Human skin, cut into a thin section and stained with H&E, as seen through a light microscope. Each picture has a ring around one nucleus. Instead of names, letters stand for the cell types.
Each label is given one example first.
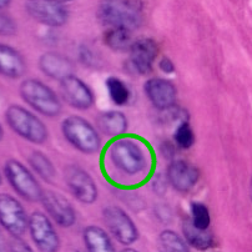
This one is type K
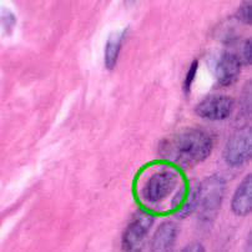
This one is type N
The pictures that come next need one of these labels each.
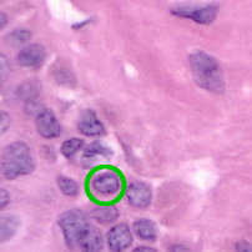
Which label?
type N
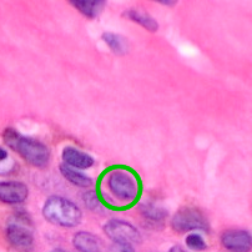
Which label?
type N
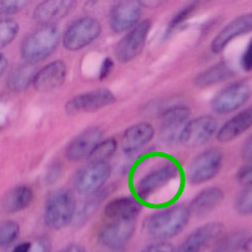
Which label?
type N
